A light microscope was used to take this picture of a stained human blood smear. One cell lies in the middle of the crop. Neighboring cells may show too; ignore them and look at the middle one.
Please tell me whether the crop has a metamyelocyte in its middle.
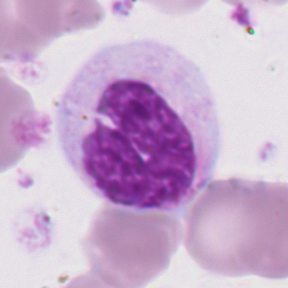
no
